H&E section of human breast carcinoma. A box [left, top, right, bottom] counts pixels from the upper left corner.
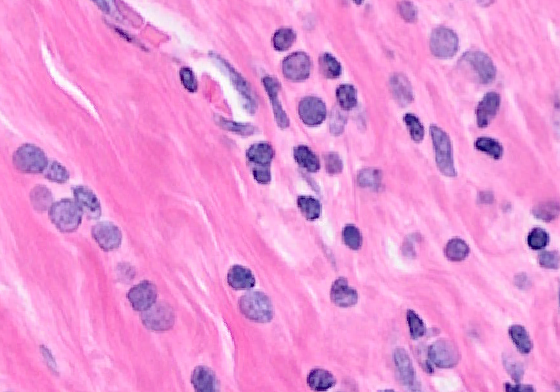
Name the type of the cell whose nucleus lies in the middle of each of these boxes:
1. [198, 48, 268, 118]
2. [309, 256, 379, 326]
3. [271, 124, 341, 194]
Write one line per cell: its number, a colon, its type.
1: endothelial cell
2: lymphocyte
3: lymphocyte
